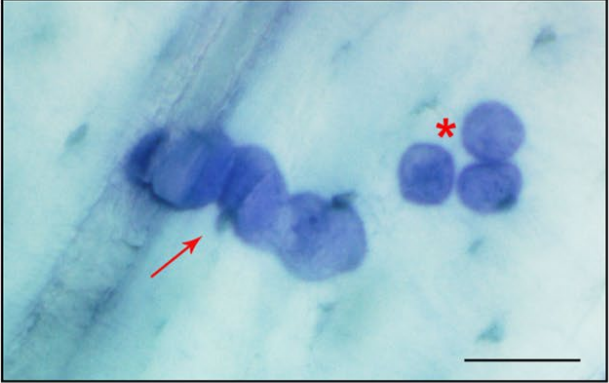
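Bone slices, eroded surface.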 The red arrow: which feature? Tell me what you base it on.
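An elongated, continuous cavity made of several overlapping rounded excavations. The dark blue cavity runs in a line rather than as a single round spot. On this evidence: trench.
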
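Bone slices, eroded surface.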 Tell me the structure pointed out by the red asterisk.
pits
